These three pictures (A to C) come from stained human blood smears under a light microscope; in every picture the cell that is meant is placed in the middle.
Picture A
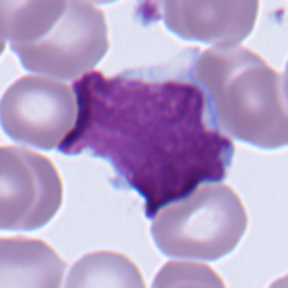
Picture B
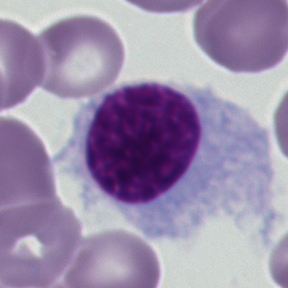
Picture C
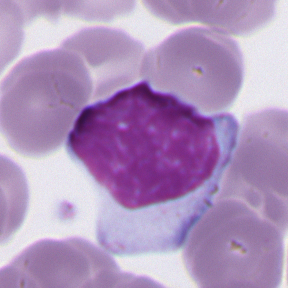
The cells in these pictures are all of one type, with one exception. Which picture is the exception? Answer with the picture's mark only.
B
